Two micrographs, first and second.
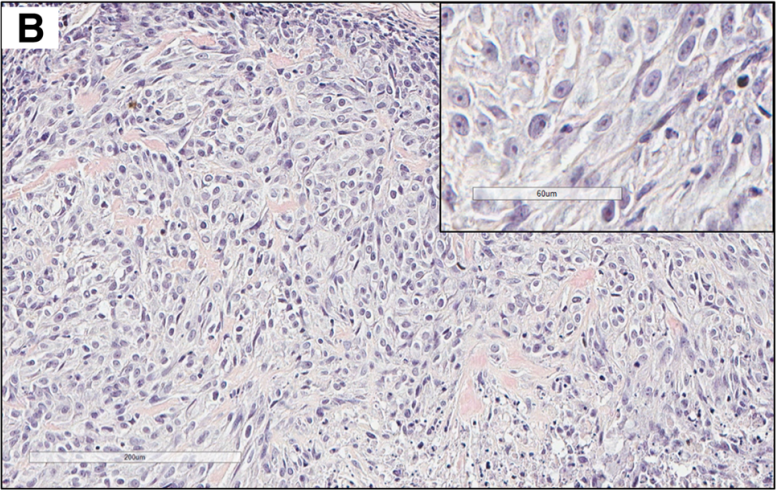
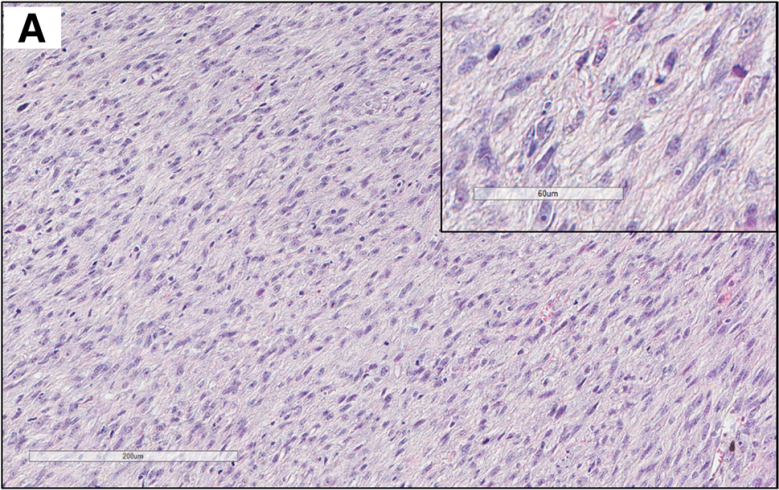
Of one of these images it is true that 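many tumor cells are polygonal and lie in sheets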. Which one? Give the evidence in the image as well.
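The first image. First image: many rounded-polygonal cells with round to oval nuclei in sheets. Second image: nearly all cells are elongated and aligned in streams.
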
